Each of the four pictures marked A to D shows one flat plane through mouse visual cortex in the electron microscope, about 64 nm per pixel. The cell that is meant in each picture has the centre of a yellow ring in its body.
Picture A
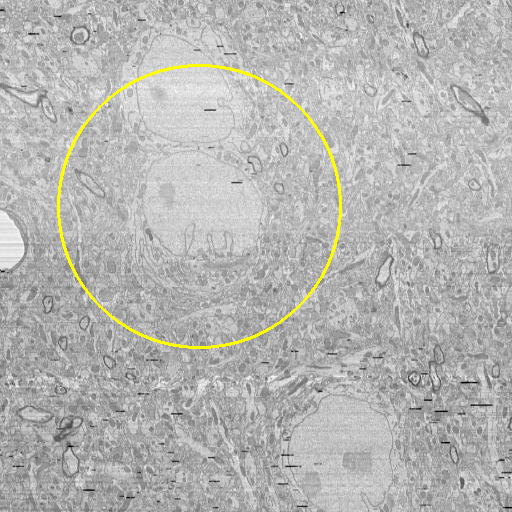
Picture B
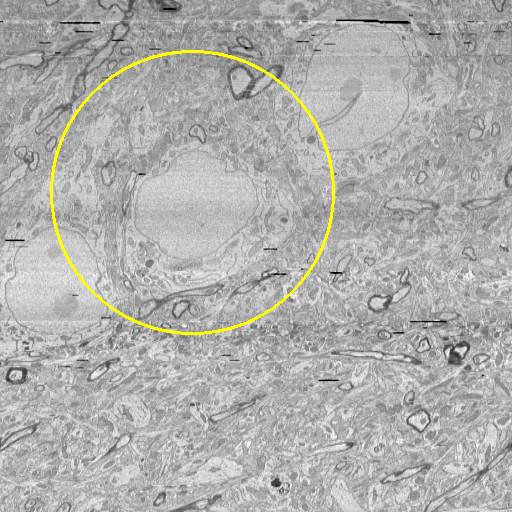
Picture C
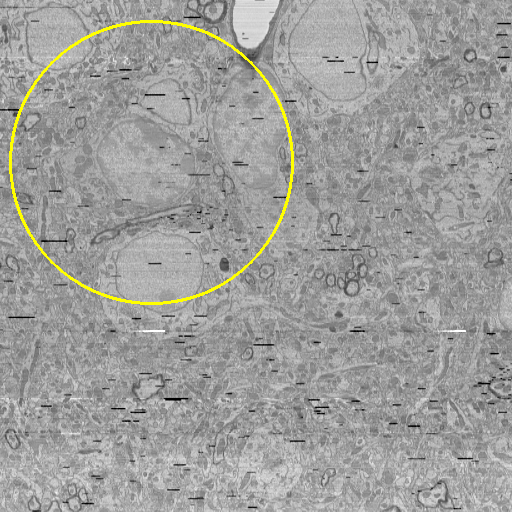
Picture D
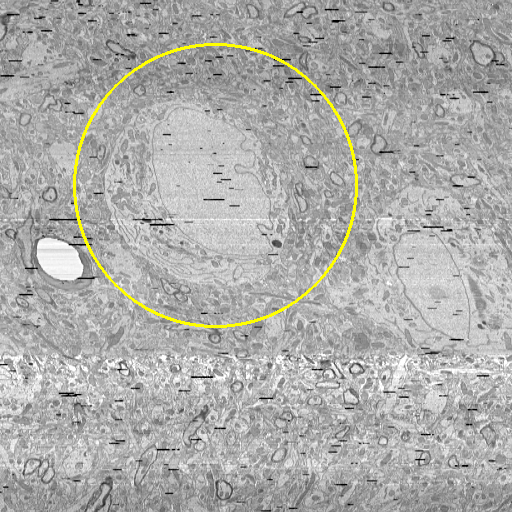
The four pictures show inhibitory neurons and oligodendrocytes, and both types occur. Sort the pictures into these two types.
Pictures A, B and D show inhibitory neurons, while picture C shows an oligodendrocyte.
